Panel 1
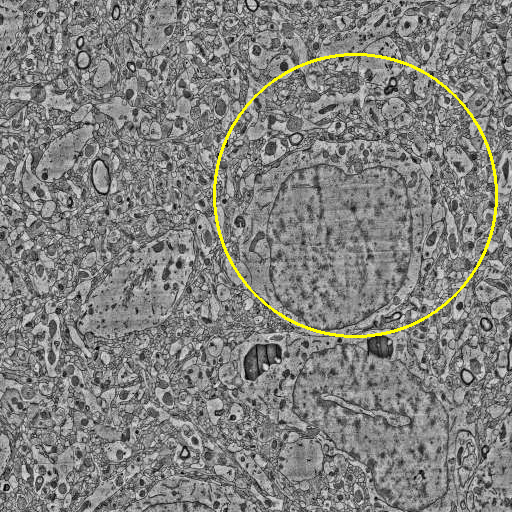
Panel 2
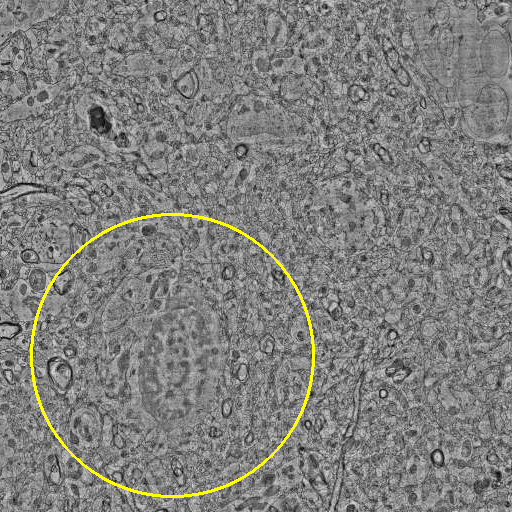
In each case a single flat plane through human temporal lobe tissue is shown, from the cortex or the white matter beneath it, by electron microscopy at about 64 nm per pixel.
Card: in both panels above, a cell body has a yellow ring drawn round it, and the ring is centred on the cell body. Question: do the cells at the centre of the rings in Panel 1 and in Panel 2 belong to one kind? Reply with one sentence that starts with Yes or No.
No, the cells centred in the rings of Panel 1 and Panel 2 are two kinds of cell.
